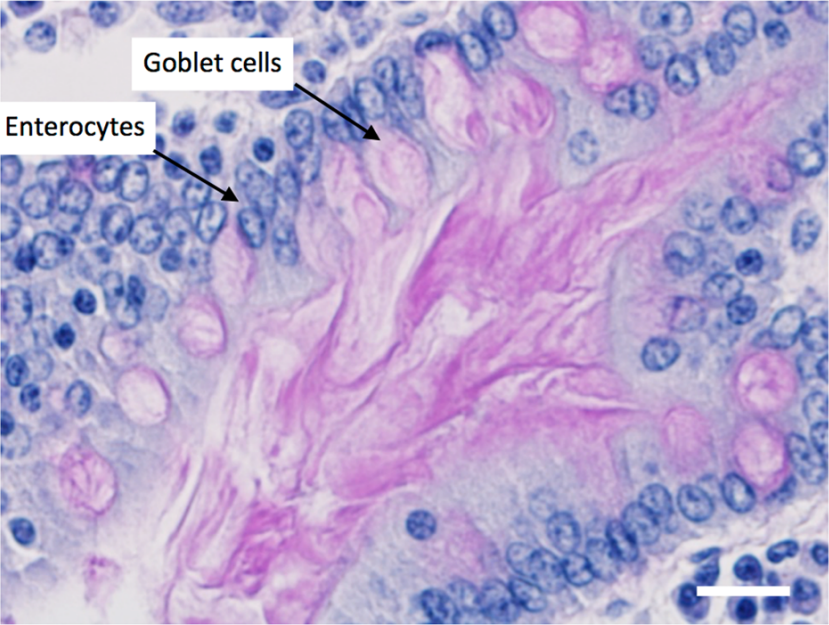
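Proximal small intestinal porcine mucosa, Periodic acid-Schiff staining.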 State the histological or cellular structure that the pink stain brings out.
mucus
